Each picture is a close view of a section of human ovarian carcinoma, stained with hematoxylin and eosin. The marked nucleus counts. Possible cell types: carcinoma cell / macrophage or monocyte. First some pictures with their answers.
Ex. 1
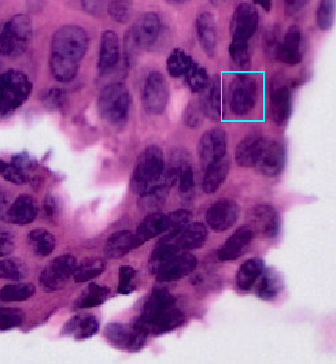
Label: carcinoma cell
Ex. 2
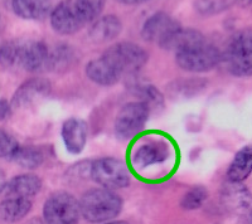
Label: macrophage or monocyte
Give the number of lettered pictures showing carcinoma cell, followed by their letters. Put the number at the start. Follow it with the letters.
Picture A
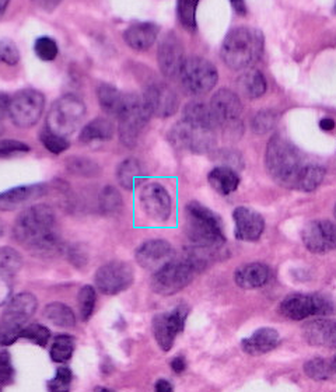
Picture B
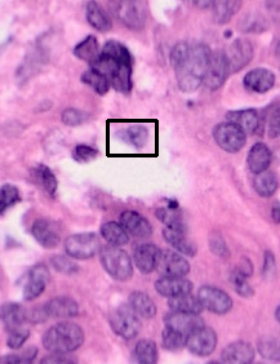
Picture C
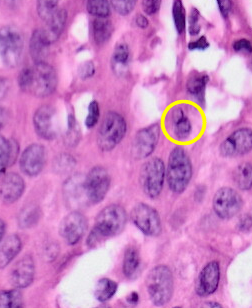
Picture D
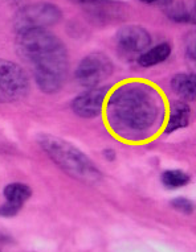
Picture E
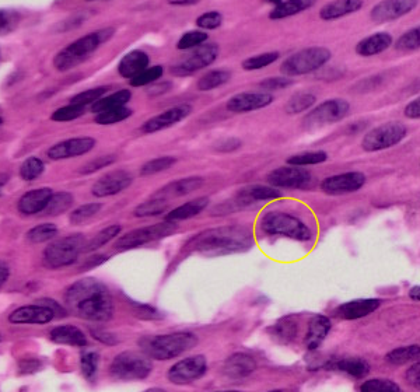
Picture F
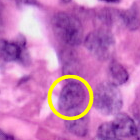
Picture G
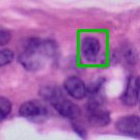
2: D, F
